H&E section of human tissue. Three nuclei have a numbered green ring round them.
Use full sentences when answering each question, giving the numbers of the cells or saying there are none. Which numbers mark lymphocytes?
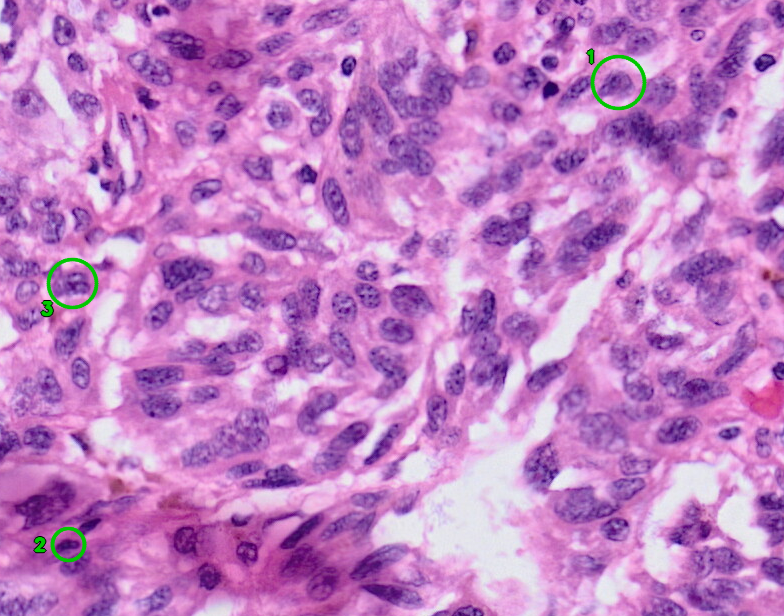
Cell 2 is a lymphocyte, while all remaining marked cells are of other types.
